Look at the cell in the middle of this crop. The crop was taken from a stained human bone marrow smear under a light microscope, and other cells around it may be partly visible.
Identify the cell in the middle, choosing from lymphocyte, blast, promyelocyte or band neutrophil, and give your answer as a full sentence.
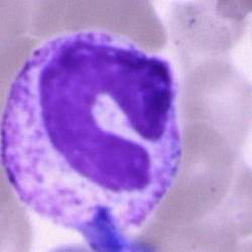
The cell nearest the centre of this crop is a band neutrophil.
